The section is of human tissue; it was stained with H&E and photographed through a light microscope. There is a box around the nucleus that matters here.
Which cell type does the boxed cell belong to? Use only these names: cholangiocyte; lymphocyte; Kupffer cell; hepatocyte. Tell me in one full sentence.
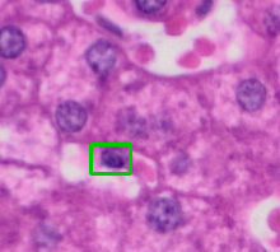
For the purposes of cell typing, the boxed cell is categorized as a Kupffer cell.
